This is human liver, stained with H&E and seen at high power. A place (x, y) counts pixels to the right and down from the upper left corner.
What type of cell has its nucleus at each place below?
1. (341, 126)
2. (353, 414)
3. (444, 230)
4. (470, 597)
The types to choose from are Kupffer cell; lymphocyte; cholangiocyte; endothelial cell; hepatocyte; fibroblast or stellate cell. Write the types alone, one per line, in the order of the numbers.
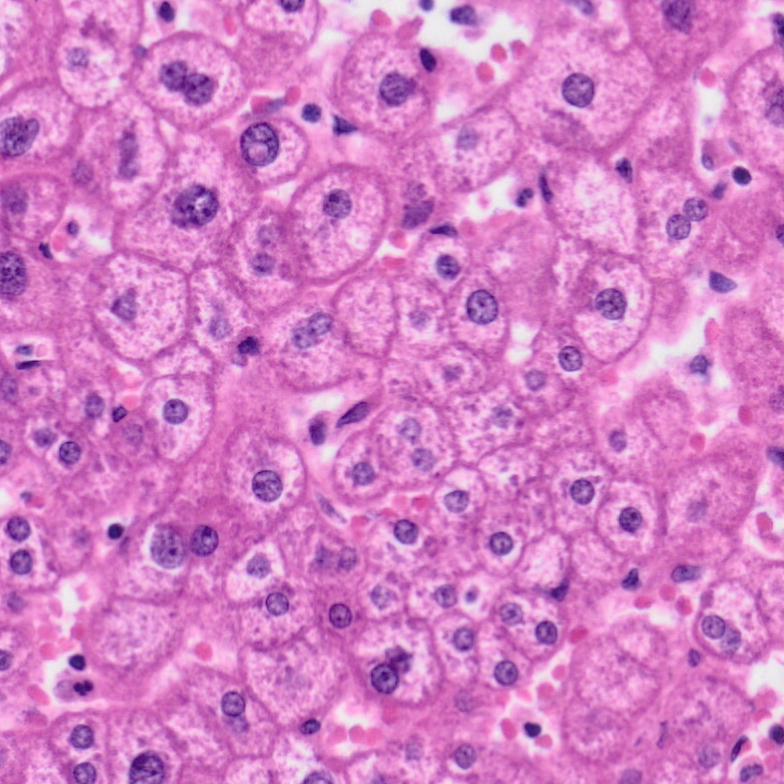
endothelial cell
Kupffer cell
fibroblast or stellate cell
lymphocyte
